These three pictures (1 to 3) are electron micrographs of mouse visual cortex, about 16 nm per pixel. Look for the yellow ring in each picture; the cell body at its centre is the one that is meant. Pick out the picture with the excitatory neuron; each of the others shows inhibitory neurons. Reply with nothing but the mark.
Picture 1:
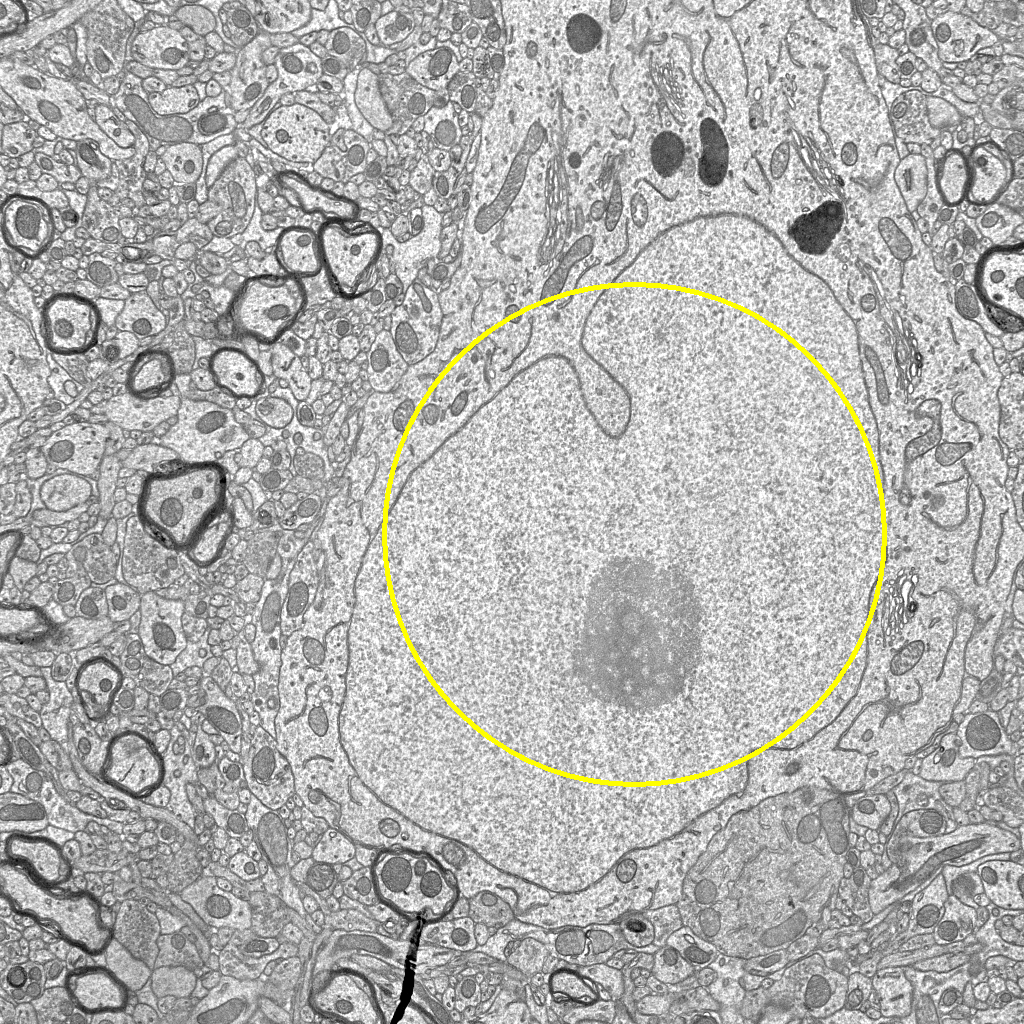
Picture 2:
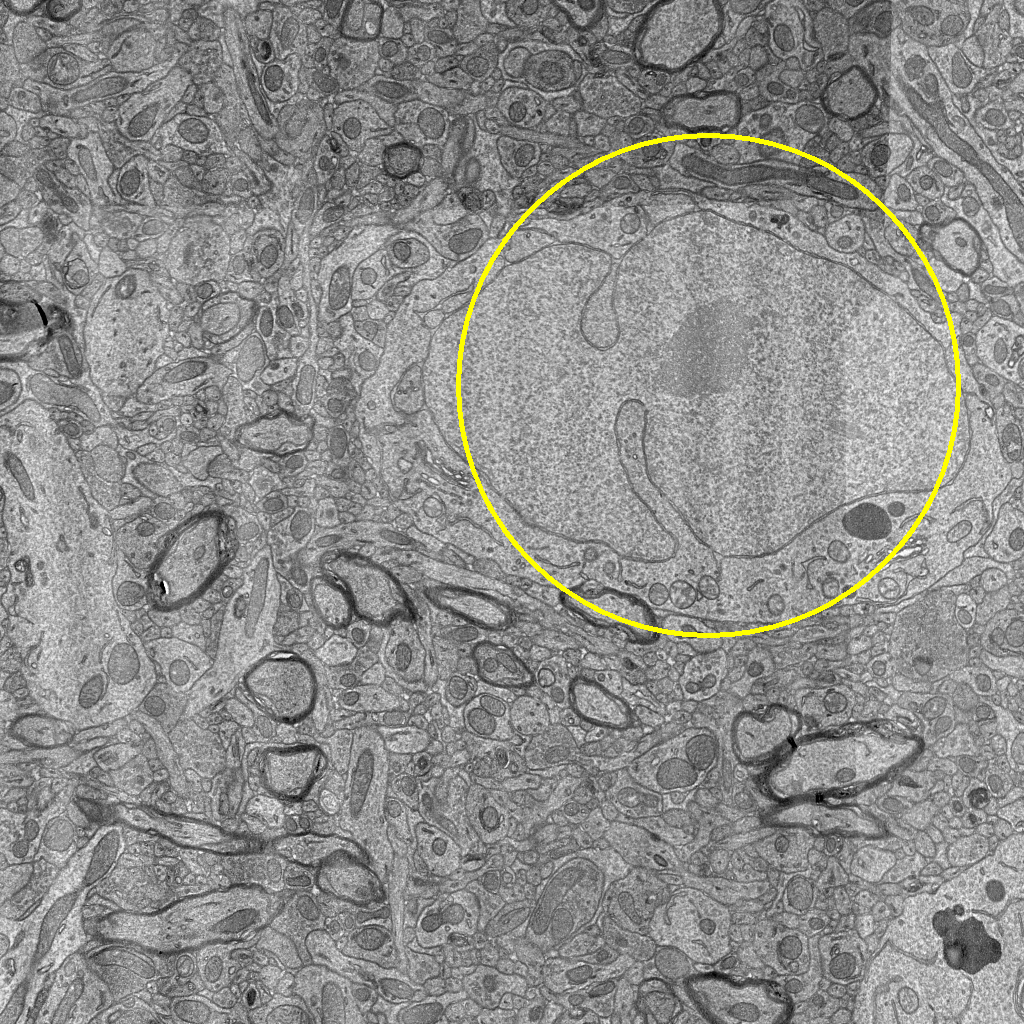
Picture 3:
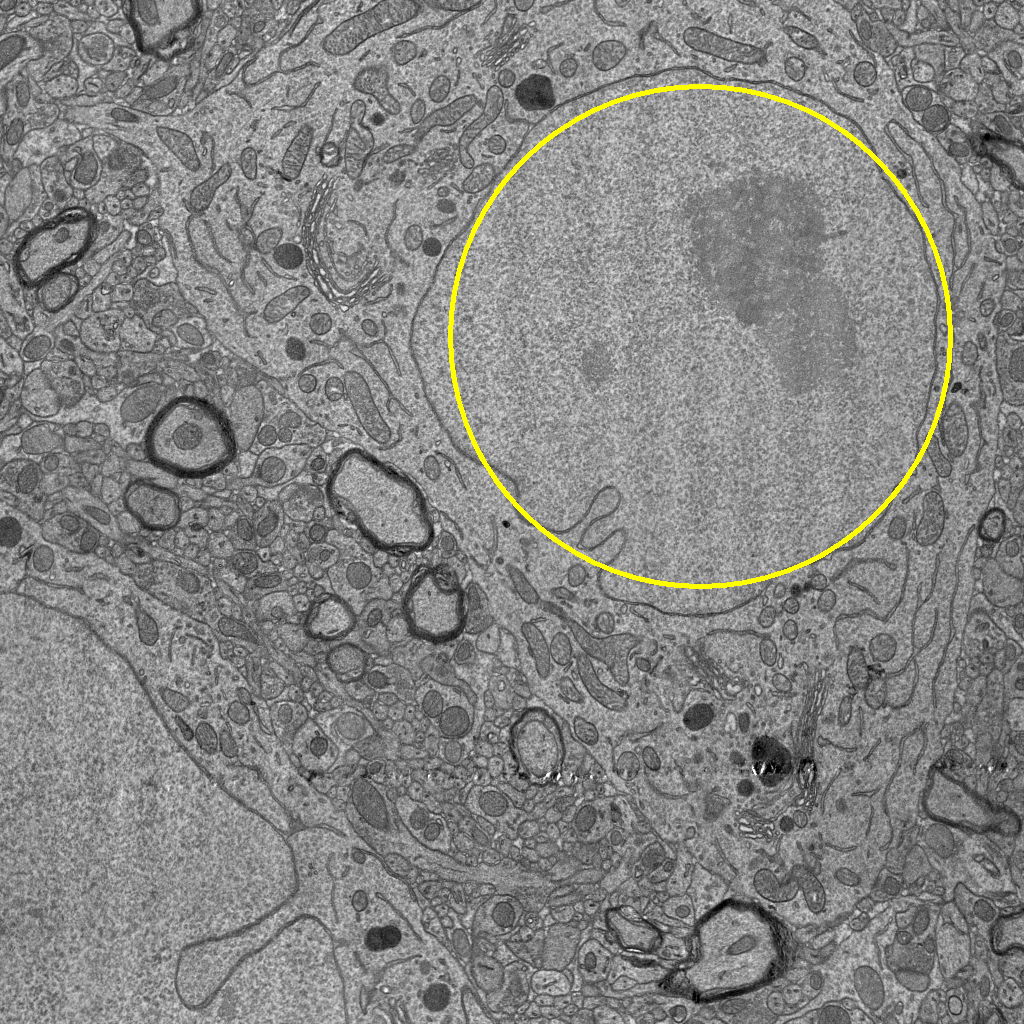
1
